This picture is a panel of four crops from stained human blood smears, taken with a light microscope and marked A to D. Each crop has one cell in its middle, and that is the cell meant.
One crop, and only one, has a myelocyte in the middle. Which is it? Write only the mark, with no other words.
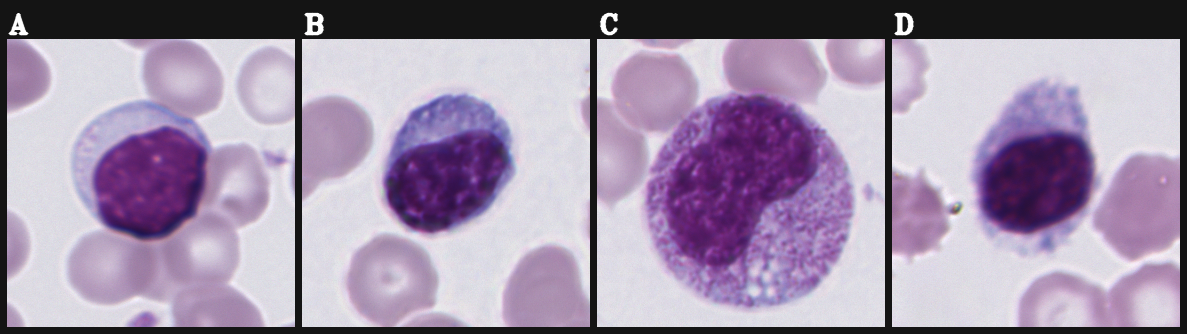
C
